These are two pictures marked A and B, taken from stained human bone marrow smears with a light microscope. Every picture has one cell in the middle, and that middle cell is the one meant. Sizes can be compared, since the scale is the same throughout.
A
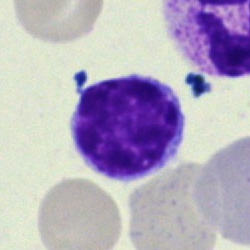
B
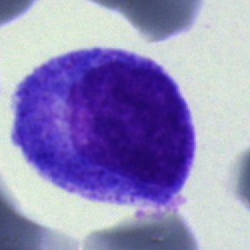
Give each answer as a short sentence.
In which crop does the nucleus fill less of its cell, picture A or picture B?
The nucleus fills less of the cell in picture B than in picture A.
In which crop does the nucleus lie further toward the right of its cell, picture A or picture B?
It is the nucleus in picture B that lies further toward the right of its cell.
